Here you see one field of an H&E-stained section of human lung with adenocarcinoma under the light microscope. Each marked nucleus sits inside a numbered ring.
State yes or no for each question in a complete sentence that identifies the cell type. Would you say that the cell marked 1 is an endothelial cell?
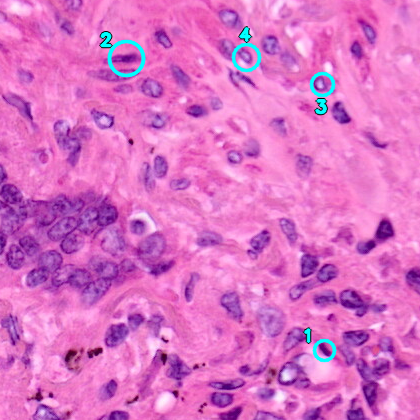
Yes, the cell numbered 1 in this tissue is an endothelial cell.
